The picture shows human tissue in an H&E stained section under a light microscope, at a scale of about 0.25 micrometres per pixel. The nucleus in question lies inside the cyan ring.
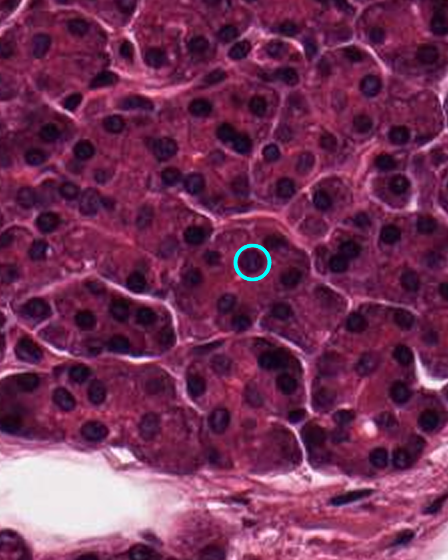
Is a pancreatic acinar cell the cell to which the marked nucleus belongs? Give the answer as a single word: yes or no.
yes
